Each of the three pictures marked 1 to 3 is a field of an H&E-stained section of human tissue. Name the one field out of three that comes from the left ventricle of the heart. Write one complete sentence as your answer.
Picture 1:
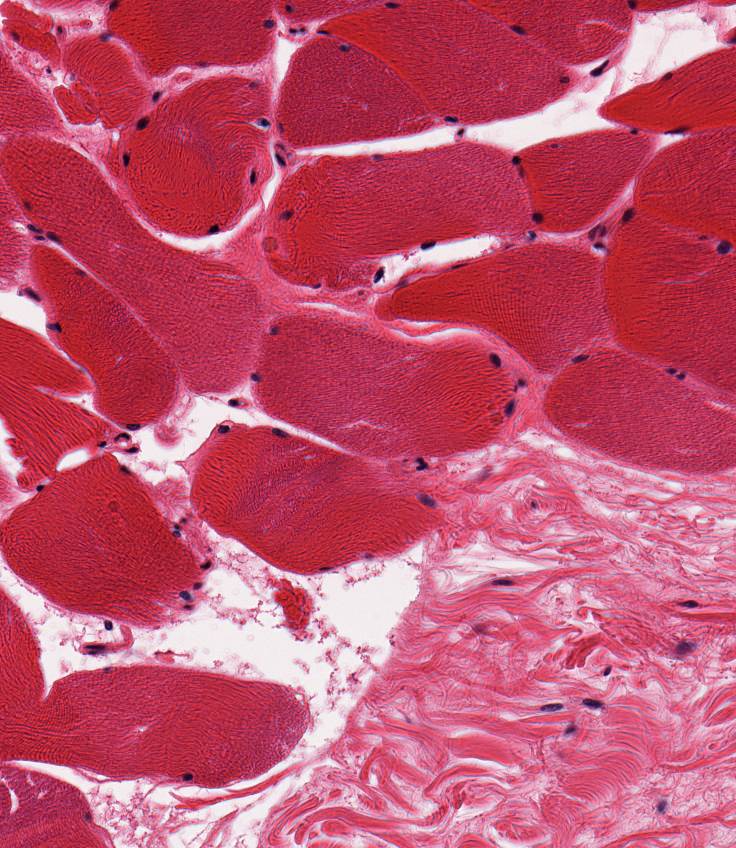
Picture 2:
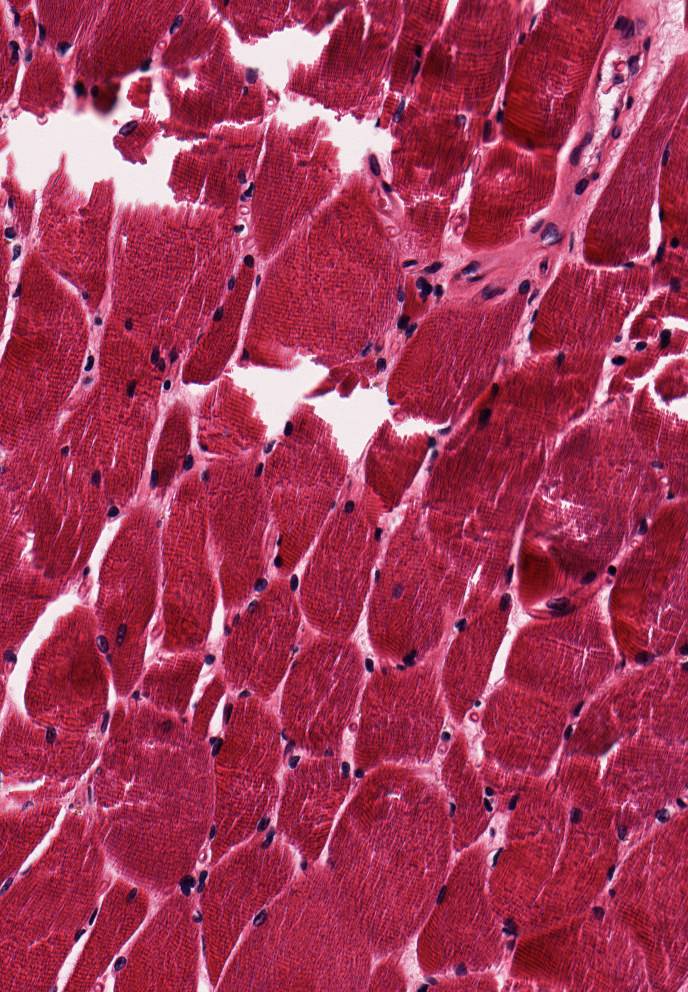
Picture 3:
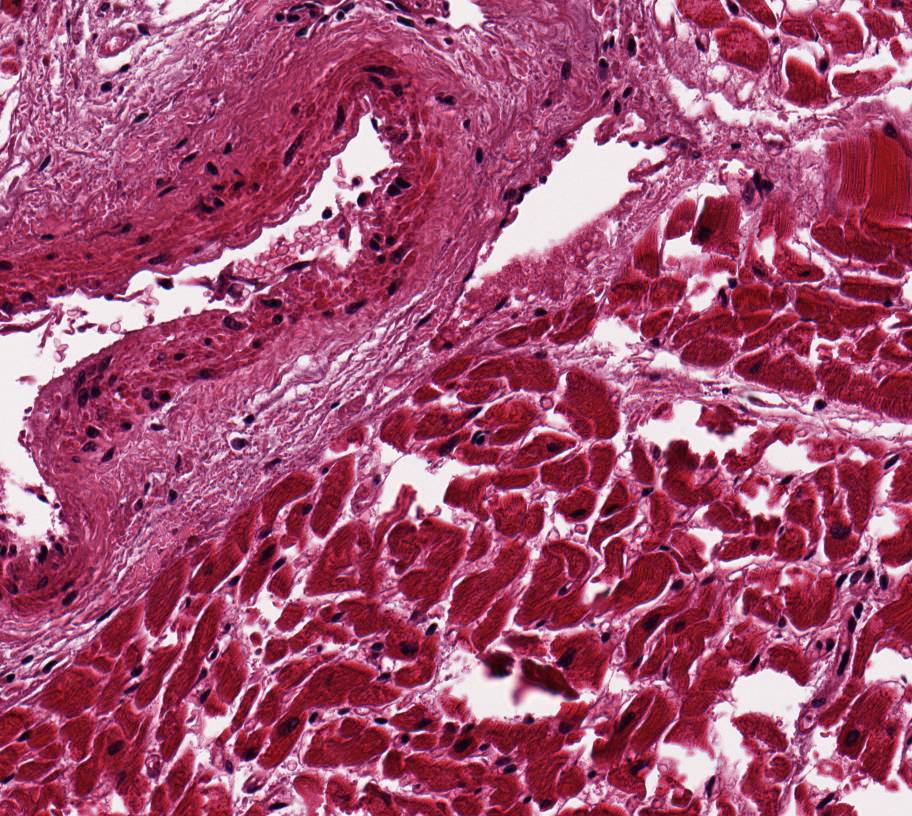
Picture 3 is the field that comes from the left ventricle of the heart.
